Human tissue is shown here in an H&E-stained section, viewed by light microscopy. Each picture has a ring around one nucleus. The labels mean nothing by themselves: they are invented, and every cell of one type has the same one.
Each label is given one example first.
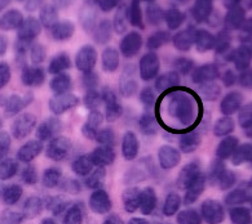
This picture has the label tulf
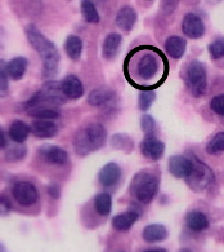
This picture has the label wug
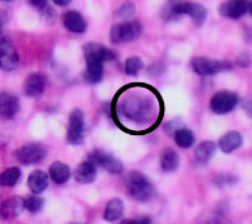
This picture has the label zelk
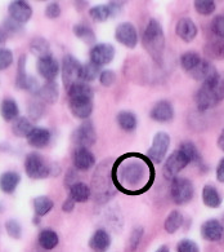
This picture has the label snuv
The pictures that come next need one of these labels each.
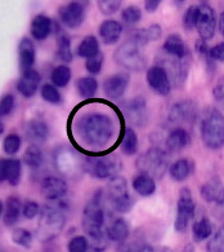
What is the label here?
zelk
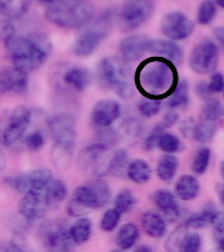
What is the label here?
zelk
